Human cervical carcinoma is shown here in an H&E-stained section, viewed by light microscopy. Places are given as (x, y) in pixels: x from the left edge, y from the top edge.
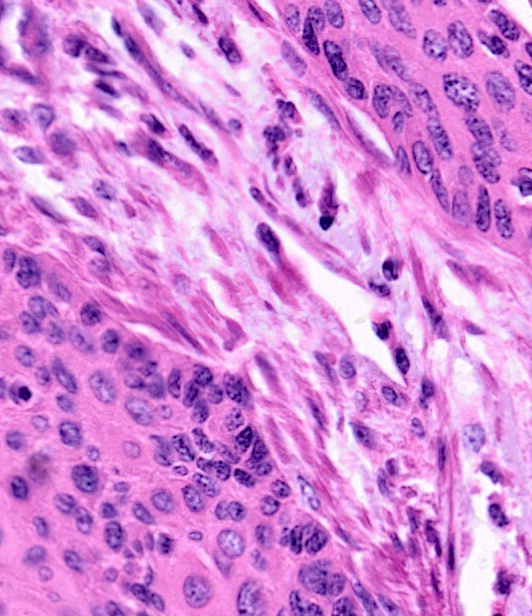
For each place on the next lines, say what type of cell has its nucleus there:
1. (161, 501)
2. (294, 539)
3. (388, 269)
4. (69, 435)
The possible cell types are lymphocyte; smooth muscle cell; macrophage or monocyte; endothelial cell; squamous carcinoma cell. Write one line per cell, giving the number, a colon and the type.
1: squamous carcinoma cell
2: squamous carcinoma cell
3: lymphocyte
4: squamous carcinoma cell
